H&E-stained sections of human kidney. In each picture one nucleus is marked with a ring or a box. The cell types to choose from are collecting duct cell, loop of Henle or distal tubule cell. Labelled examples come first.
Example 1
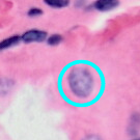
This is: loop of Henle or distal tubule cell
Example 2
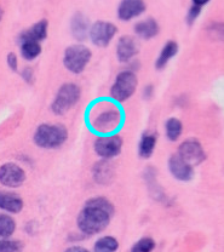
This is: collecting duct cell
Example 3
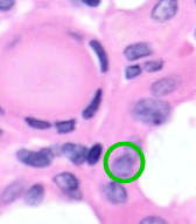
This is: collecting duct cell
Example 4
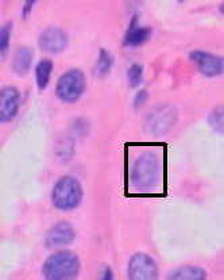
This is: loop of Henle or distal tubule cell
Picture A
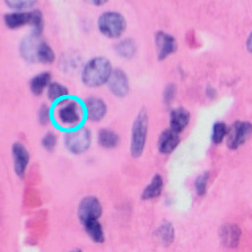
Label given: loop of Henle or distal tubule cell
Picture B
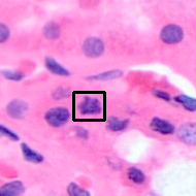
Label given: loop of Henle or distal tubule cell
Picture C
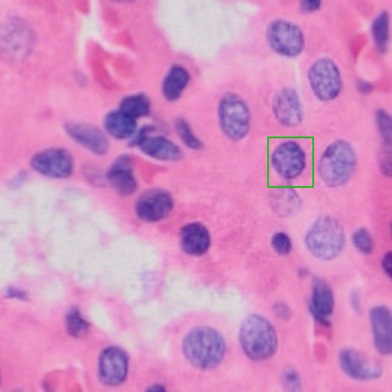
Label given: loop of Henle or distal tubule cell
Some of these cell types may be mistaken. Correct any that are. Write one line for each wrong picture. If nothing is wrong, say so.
A: collecting duct cell, not loop of Henle or distal tubule cell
